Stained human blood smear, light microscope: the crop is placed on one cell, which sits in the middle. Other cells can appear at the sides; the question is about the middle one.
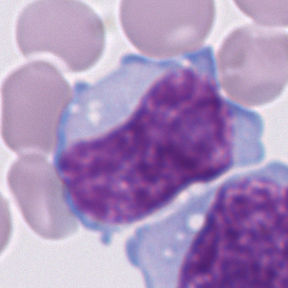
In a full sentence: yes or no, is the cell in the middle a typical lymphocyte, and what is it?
No, in the middle of the crop there is a myeloblast rather than a typical lymphocyte.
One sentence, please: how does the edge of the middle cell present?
Along the periphery, ragged stretches or projections make the outline irregular.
